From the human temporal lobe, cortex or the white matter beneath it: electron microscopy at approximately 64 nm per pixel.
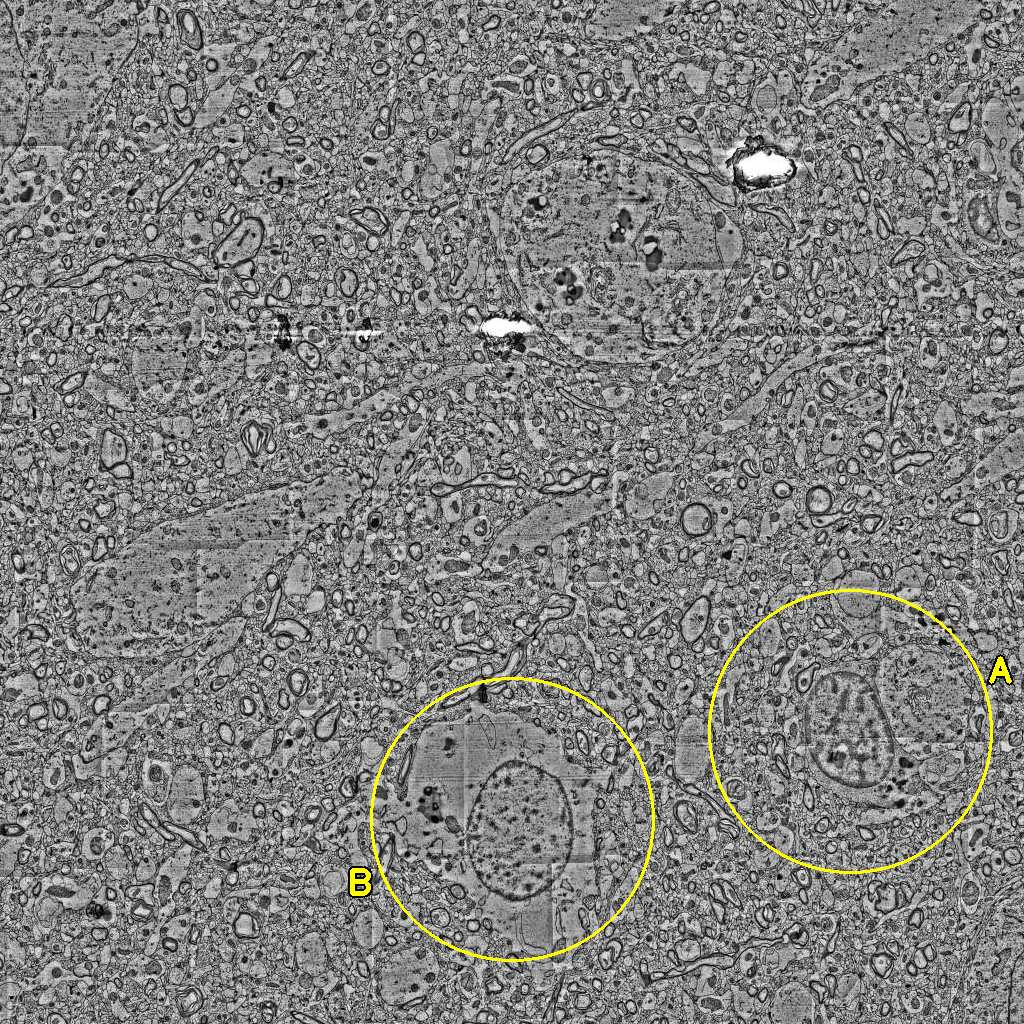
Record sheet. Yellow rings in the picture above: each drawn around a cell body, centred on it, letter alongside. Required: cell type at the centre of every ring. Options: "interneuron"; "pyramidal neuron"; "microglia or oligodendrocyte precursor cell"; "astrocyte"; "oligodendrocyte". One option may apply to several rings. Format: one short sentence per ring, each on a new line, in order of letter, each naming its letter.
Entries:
Ring A contains an oligodendrocyte at the centre.
Ring B contains an astrocyte at the centre.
